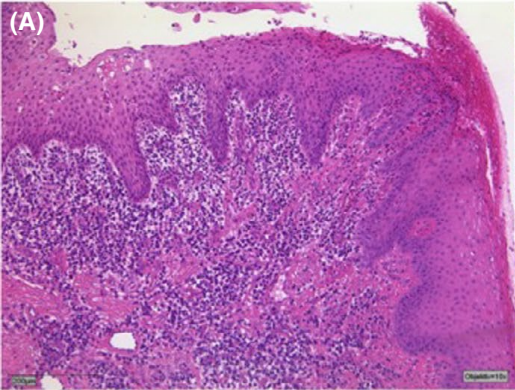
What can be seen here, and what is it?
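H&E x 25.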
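This low-power view shows squamous epithelium over fibrous stroma that is densely infiltrated by inflammatory cells. The epithelium is a thick pink stratified layer with long rete ridges reaching down into the stroma. Between and below the ridges, the connective tissue is packed with small dark-nucleated cells, giving it a blue-purple, crowded look compared with the pale epithelium.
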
